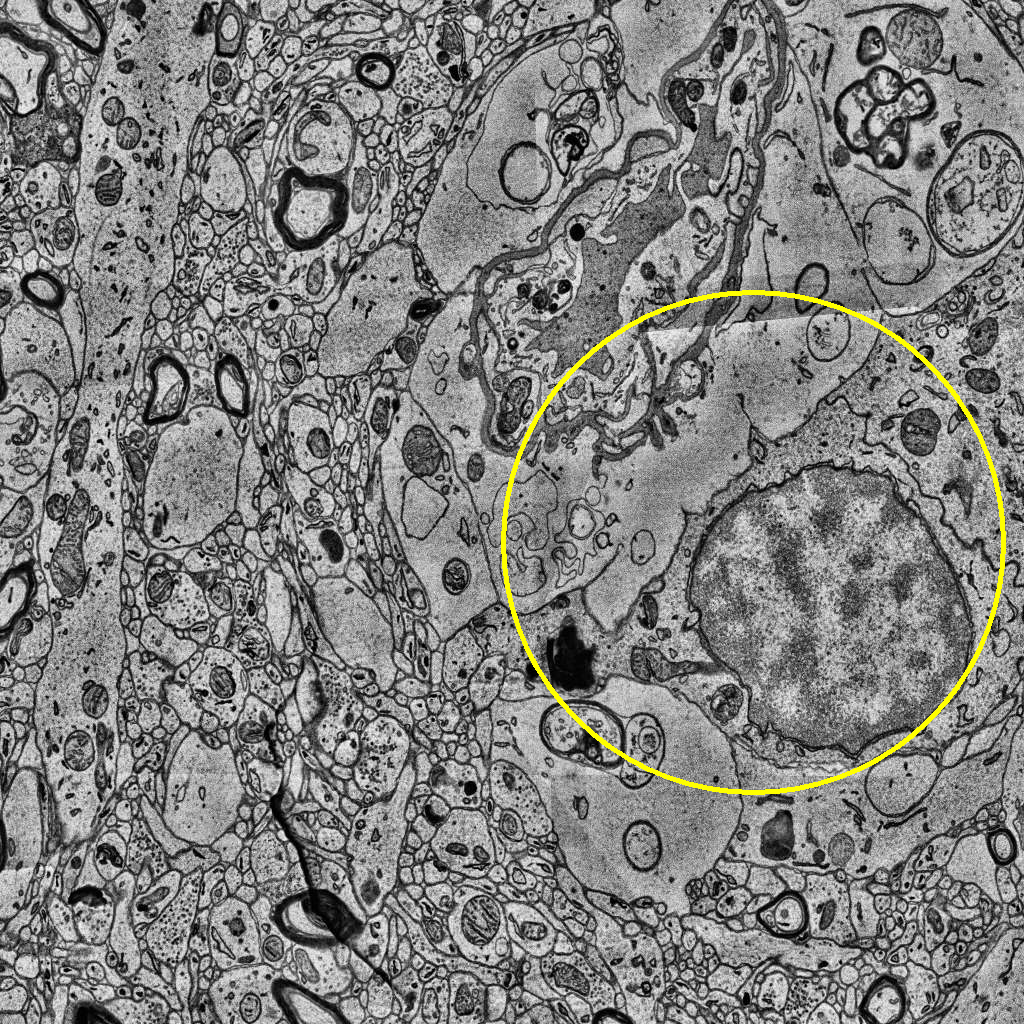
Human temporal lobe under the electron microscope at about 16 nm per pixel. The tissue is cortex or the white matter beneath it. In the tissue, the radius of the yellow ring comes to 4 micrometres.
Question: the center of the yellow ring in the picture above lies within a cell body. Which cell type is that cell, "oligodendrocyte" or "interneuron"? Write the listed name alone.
oligodendrocyte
